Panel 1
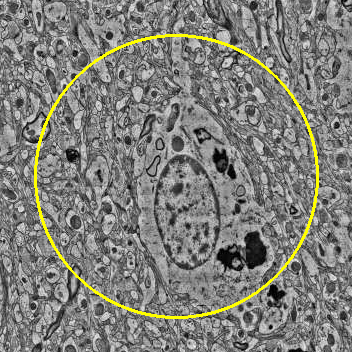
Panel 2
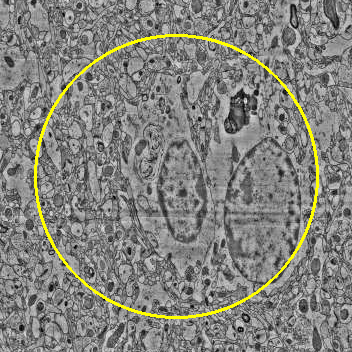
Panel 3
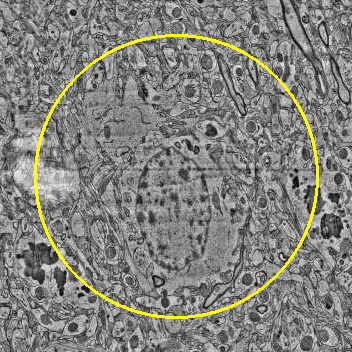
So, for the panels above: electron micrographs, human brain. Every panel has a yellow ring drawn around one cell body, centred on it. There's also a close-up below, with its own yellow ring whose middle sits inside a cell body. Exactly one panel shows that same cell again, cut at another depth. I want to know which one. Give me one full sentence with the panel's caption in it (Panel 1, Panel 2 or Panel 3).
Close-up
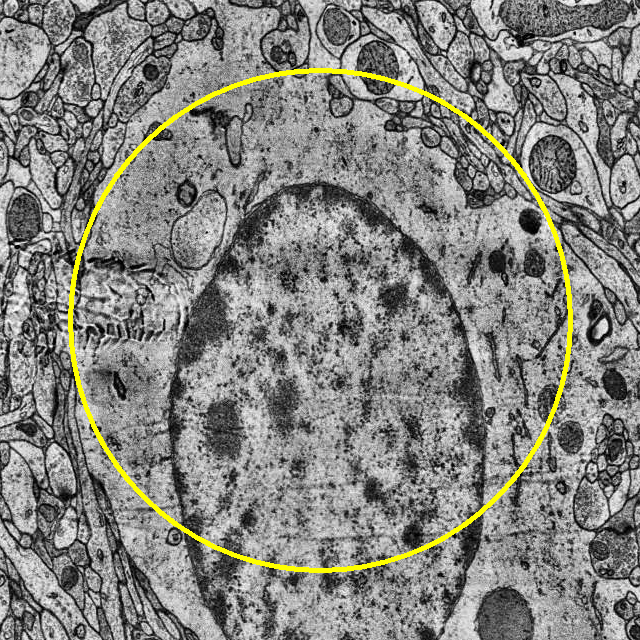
The ringed cell whose close-up is shown lies in Panel 1.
